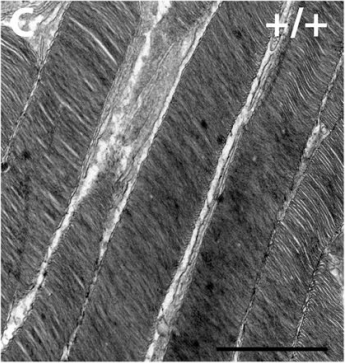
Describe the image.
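Transmission electron micrograph of photoreceptor outer segments cut lengthwise. Several long, straight segments run diagonally across the field side by side, separated by narrow pale spaces and thin dark boundaries. Each segment is filled with a dense stack of fine, evenly spaced membrane discs that lie parallel to one another and perpendicular to the long axis, giving a uniform finely striated texture. A scale bar lies at the lower edge.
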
